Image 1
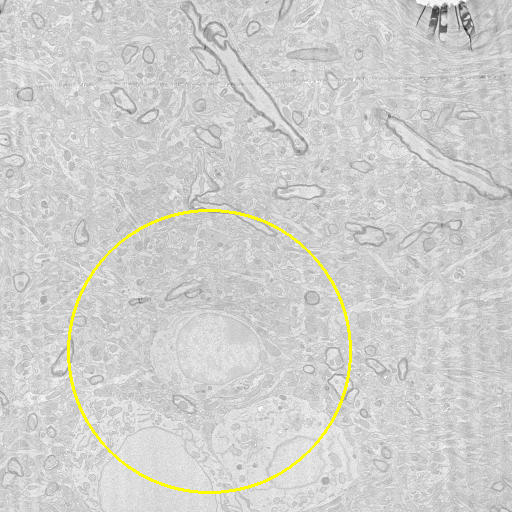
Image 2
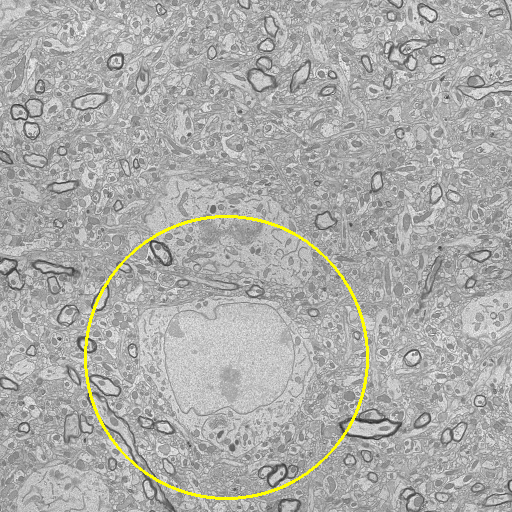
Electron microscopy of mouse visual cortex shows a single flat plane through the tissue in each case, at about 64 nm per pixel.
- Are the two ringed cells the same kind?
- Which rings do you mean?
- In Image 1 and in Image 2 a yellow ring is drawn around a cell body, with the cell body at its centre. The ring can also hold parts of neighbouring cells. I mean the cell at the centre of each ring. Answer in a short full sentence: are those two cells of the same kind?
No, the cells are of two kinds.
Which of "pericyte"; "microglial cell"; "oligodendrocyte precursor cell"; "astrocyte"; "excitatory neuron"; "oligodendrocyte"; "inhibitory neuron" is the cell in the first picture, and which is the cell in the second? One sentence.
The two differ: the first cell is an oligodendrocyte and the second is an excitatory neuron.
